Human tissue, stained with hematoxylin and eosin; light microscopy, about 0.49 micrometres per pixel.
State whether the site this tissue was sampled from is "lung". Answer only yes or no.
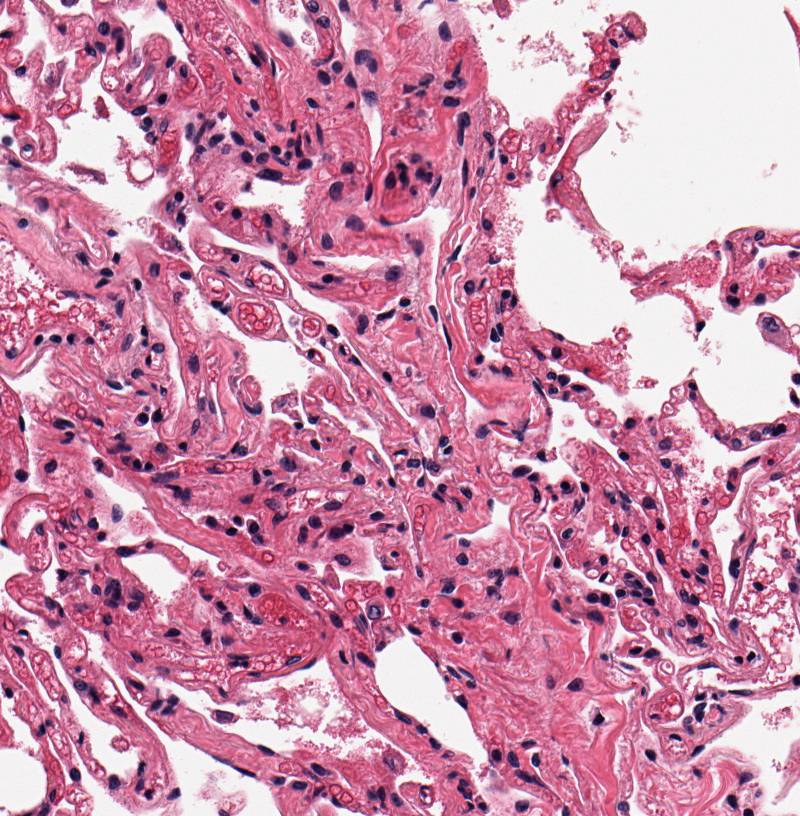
yes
